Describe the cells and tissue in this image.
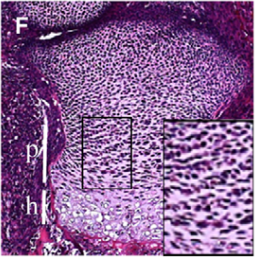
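Growth plate cartilage of a developing long bone, purple-pink matrix crowded with dark-staining chondrocyte nuclei. The upper region holds densely packed small rounded cells. In the boxed zone, shown enlarged in the inset, the cells are elongated with dark nuclei but lie at varying angles, crowded and irregular rather than forming neat stacked columns. Lower down the cells become larger and paler with clear lacunae, bordering a pink-red region at the bottom. Fibrous perichondrium with dense nuclei lines the sides.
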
